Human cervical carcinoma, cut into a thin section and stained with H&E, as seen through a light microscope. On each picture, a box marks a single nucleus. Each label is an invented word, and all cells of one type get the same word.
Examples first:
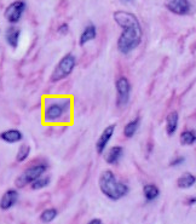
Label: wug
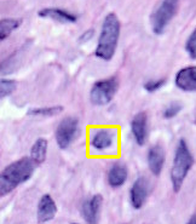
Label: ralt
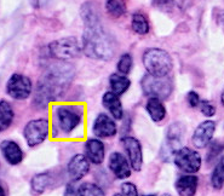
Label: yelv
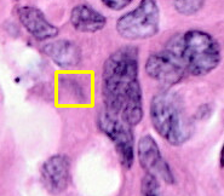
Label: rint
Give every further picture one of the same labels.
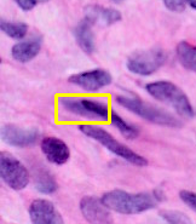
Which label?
ralt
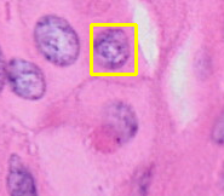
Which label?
rint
